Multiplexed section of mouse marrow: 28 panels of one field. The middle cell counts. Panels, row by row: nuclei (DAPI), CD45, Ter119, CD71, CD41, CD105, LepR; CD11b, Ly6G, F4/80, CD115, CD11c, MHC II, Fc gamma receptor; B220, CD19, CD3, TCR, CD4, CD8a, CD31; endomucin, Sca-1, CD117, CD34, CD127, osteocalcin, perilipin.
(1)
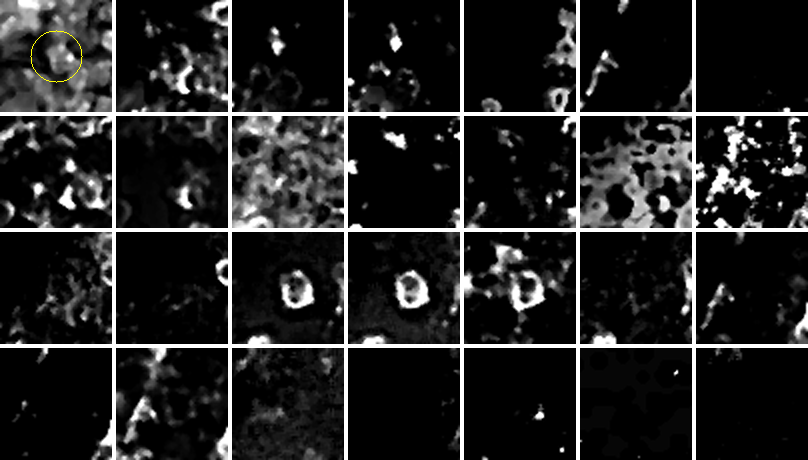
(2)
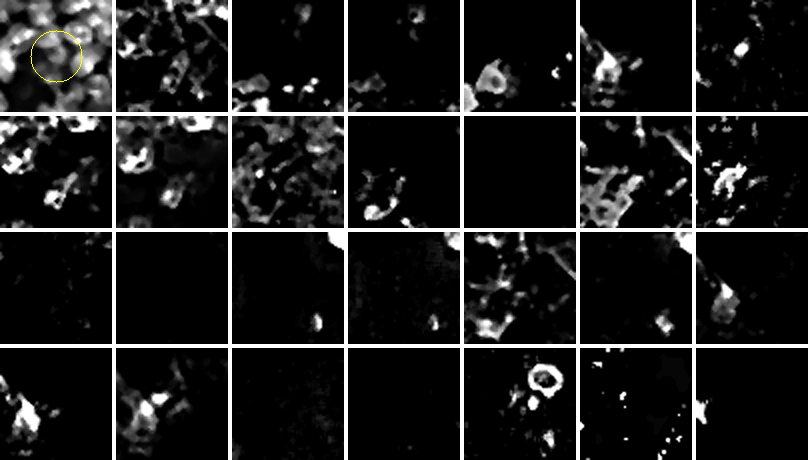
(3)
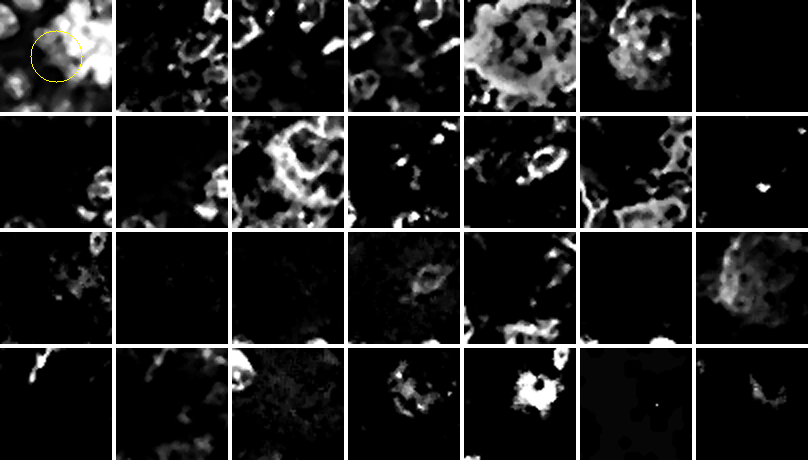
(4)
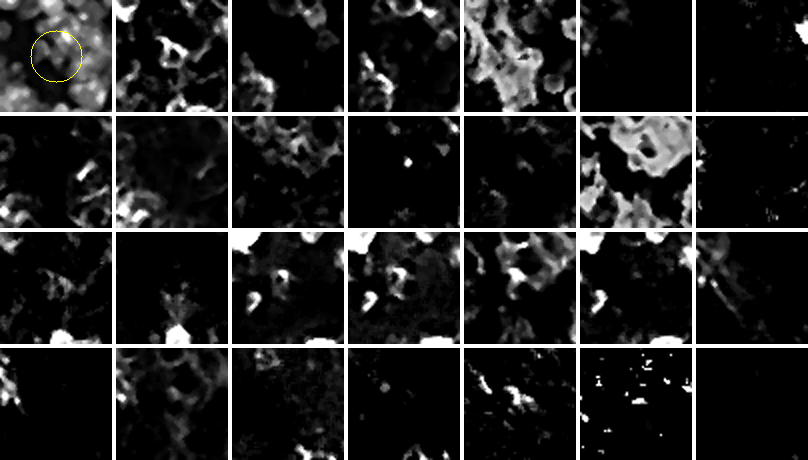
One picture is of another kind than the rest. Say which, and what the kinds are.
Picture 1 shows a CD4 T cell; the rest show common lymphoid progenitors.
